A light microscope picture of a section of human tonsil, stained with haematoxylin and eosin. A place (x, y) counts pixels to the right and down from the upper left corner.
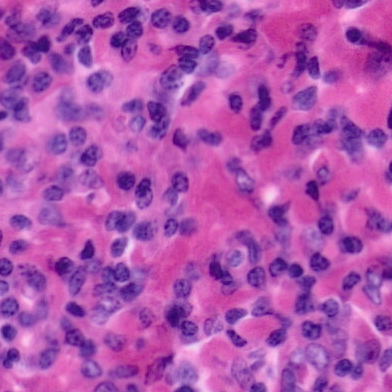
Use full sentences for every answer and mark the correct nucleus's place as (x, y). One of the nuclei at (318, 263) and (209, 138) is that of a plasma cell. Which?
The nucleus that belongs to a plasma cell is located at (318, 263).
